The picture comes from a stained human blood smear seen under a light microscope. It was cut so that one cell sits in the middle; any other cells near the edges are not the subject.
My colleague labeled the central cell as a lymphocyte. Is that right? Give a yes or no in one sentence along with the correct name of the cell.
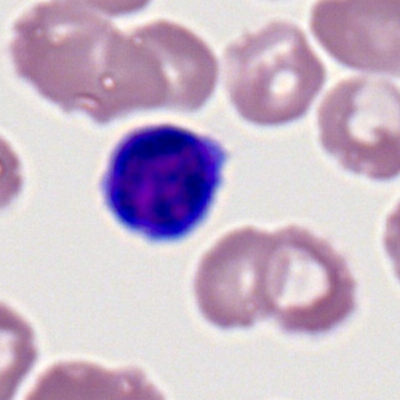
Yes, the cell that lies centrally is a lymphocyte.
